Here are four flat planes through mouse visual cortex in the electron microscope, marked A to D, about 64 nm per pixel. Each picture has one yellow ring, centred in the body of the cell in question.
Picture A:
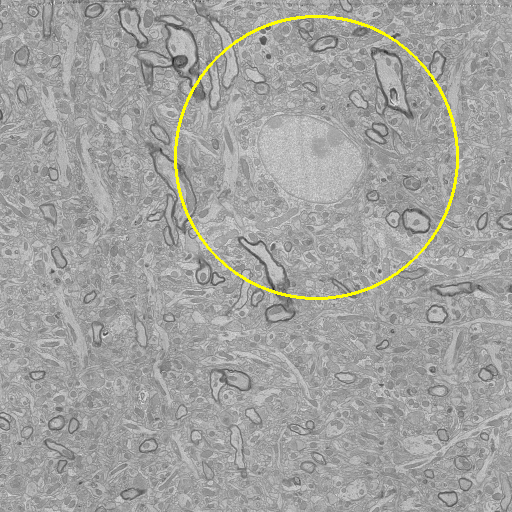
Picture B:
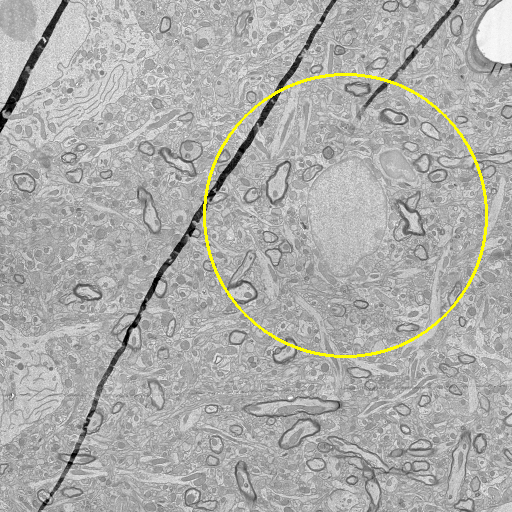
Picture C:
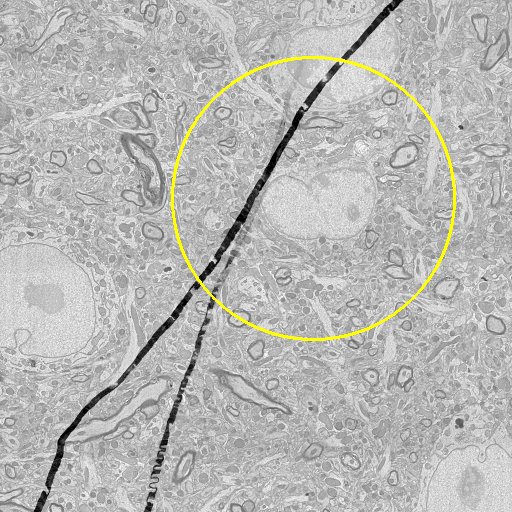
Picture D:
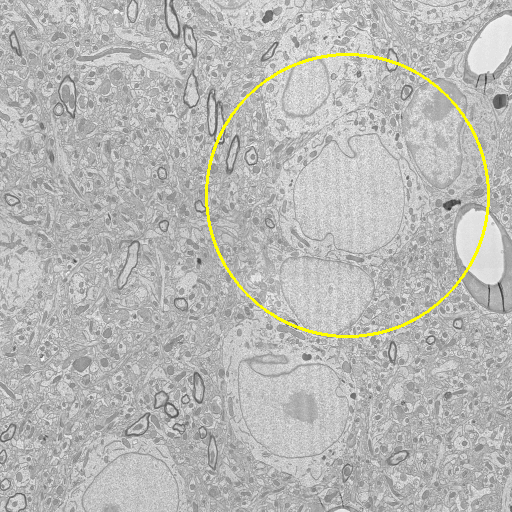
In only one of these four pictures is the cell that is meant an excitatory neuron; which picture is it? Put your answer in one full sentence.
The cell in picture D is the excitatory neuron.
